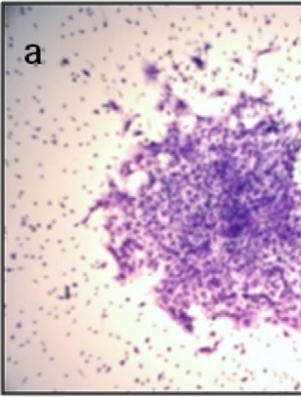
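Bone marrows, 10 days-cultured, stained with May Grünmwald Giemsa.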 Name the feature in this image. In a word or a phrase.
Colonies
